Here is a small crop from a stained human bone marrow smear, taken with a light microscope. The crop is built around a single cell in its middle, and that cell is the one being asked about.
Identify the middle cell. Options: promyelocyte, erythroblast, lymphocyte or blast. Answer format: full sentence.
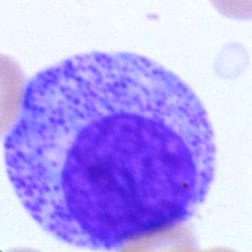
Here the cell in the middle is a promyelocyte.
